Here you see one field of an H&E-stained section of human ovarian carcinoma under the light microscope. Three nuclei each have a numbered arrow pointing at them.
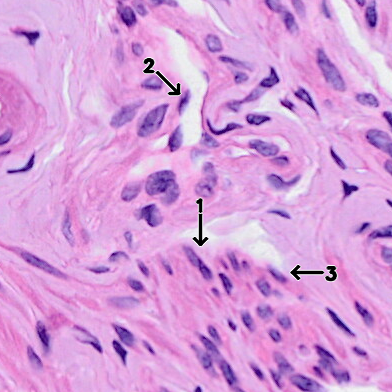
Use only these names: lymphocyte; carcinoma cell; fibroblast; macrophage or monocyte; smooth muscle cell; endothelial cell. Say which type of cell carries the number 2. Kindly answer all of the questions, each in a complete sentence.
The cell indicated by marker 2 is an endothelial cell in this section.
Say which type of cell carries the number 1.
Corresponding to a smooth muscle cell is the cell labelled 1.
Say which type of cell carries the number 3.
Classified as a smooth muscle cell is the cell with the number 3.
